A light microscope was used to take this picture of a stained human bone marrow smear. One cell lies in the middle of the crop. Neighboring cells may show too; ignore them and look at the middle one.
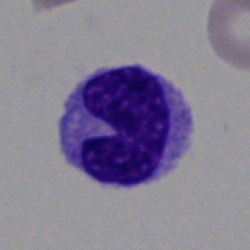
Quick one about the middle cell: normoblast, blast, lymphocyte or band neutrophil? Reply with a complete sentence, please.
The cell featured at the centre of this crop is a band neutrophil.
